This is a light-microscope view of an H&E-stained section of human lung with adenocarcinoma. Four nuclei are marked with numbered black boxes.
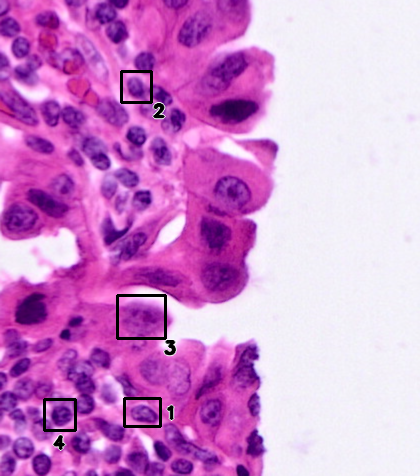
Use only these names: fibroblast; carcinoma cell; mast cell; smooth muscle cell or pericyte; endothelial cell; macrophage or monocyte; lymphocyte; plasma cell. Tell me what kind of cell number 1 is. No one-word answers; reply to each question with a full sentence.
The cell tagged with 1 in this tissue section is a lymphocyte.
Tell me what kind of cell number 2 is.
The cell pointed out as number 2 is a lymphocyte.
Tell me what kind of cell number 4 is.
The cell whose nucleus carries the number 4 is a lymphocyte.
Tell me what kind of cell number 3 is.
Recognised here as a carcinoma cell is the cell numbered 3.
